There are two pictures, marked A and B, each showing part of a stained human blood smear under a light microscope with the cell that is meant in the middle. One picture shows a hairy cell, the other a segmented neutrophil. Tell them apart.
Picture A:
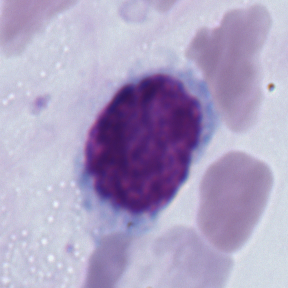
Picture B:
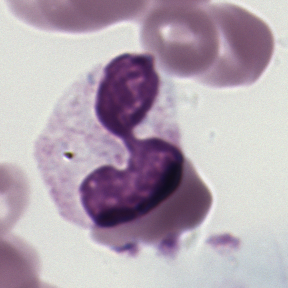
A: hairy cell
B: segmented neutrophil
